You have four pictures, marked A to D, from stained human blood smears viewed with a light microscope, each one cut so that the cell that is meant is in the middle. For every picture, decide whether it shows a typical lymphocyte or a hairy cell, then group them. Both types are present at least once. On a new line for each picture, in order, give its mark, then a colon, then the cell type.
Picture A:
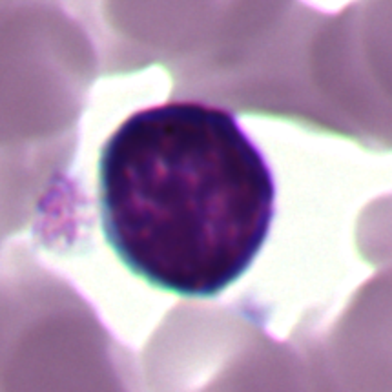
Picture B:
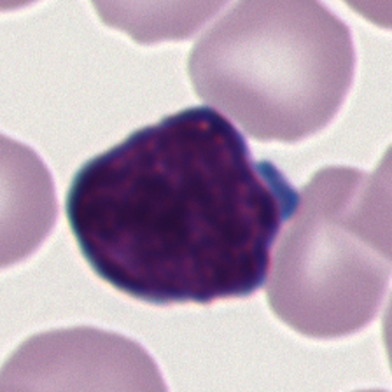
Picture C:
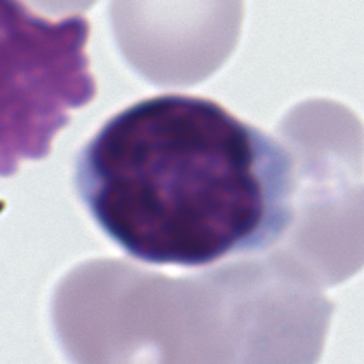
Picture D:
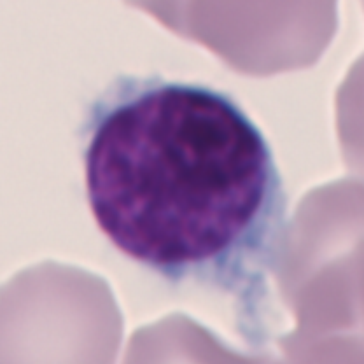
A: typical lymphocyte
B: typical lymphocyte
C: typical lymphocyte
D: hairy cell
